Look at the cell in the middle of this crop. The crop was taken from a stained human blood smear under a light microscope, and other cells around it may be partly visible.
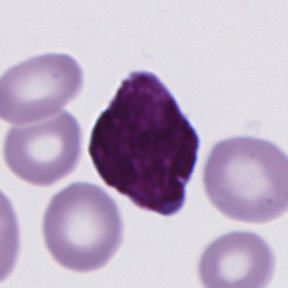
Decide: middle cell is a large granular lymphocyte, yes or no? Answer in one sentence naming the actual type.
No, the centre of the crop is taken up by a myeloblast, not a large granular lymphocyte.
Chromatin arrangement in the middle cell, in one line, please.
Just so you know, its chromatin is coarsely clumped.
